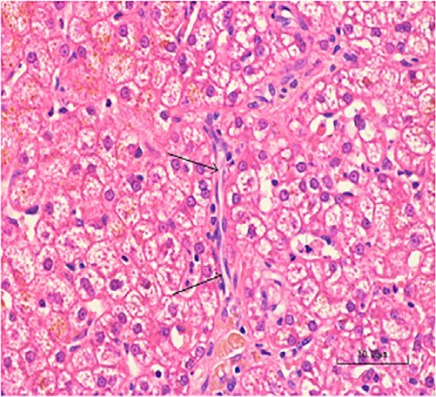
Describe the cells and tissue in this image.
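Liver parenchyma with hepatocytes surrounding a small parenchymal arteriole. The hepatocytes are polygonal with round central nuclei and pale, finely vacuolated, clear-looking pink cytoplasm, arranged in cords separated by sinusoids, some containing red blood cells. The vessel lies directly among hepatocyte cords rather than in a broad connective tissue tract, and a little red blood cell material is seen at its lower end.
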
